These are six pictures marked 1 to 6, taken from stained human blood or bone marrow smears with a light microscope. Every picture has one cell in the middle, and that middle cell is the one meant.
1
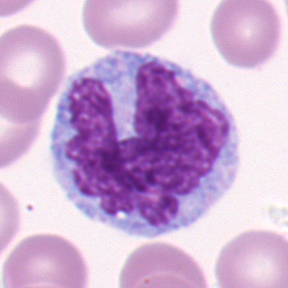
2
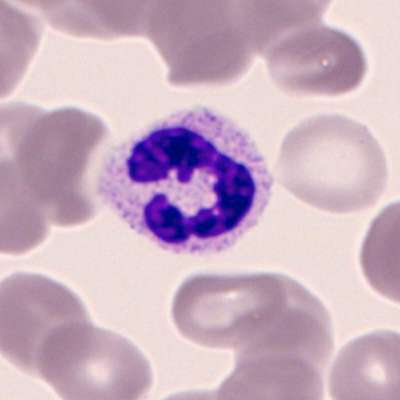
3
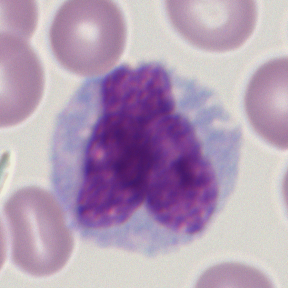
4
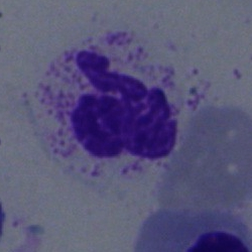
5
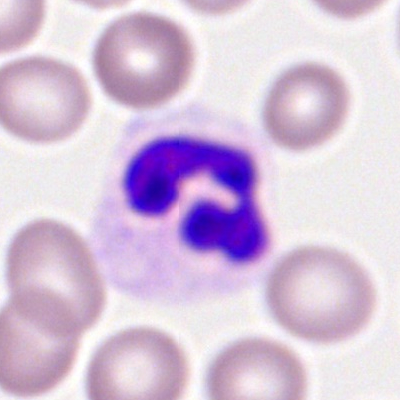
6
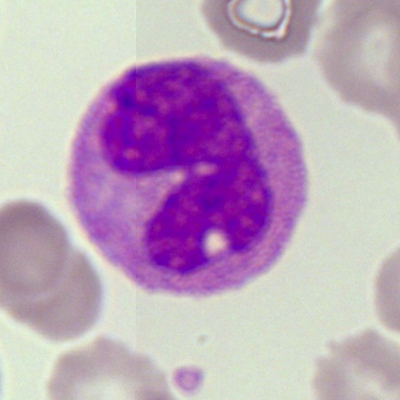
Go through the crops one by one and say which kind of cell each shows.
1: monocyte
2: segmented neutrophil
3: monocyte
4: segmented neutrophil
5: segmented neutrophil
6: monocyte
